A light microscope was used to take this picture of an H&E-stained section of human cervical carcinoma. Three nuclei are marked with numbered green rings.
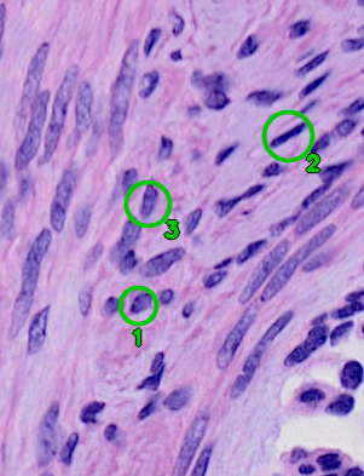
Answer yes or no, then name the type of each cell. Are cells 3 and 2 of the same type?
No, cell 3 is a smooth muscle cell, whereas cell 2, for its part, is a fibroblast.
